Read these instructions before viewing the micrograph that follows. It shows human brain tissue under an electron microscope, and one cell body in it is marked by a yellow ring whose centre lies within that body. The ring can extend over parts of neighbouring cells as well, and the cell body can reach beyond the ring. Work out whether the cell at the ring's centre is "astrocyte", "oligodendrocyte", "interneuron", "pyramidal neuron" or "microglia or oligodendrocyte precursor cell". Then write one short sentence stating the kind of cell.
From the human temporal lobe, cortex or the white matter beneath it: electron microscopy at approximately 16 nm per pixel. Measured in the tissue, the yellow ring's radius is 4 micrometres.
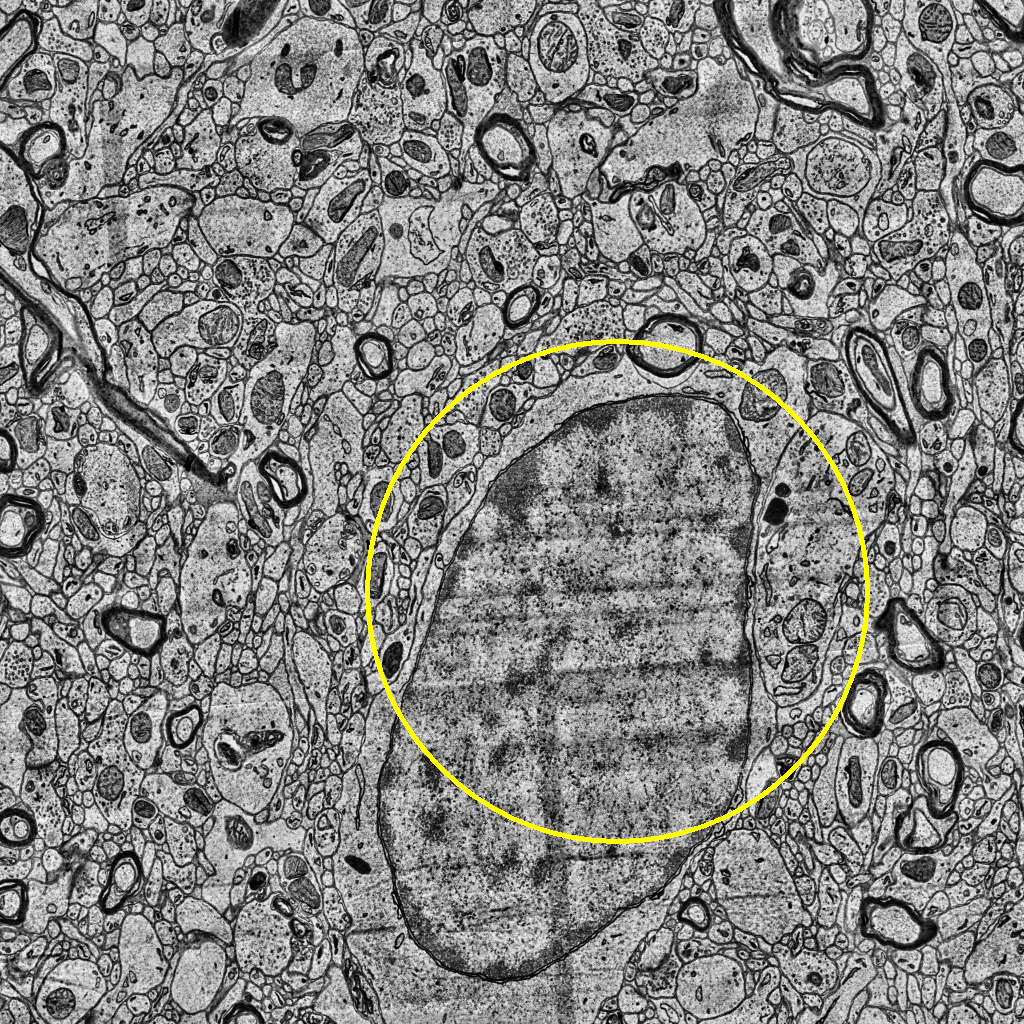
The cell at the ring's centre is a microglial cell or oligodendrocyte precursor cell.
